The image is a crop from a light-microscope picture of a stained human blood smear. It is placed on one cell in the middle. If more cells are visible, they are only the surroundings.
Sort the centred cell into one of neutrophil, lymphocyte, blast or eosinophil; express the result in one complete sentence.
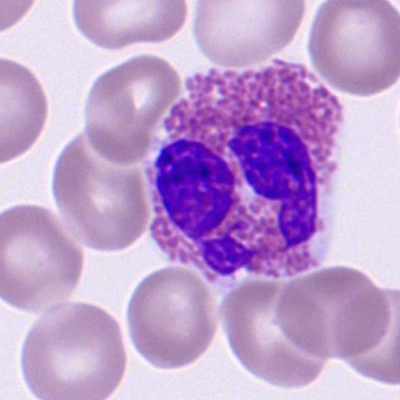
Answering briefly, the cell in the middle is an eosinophil.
